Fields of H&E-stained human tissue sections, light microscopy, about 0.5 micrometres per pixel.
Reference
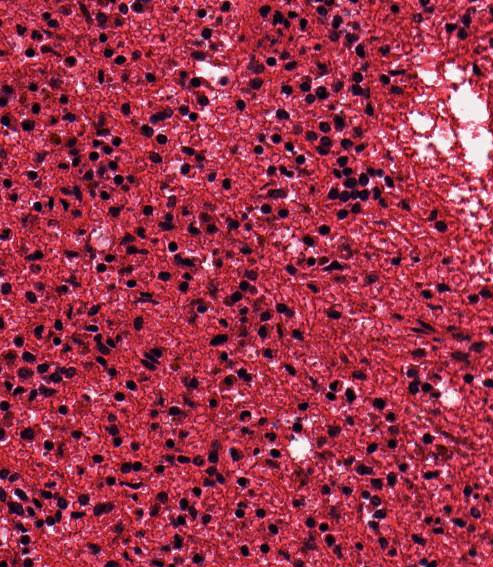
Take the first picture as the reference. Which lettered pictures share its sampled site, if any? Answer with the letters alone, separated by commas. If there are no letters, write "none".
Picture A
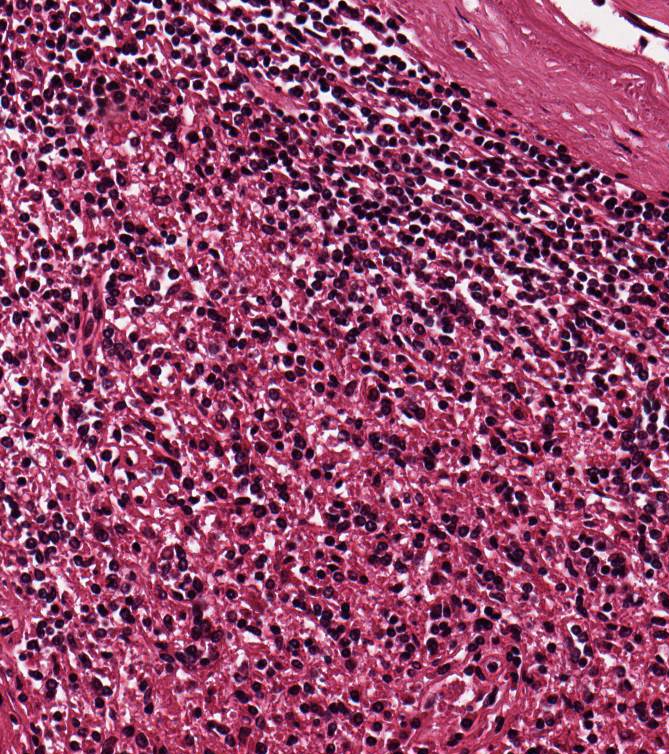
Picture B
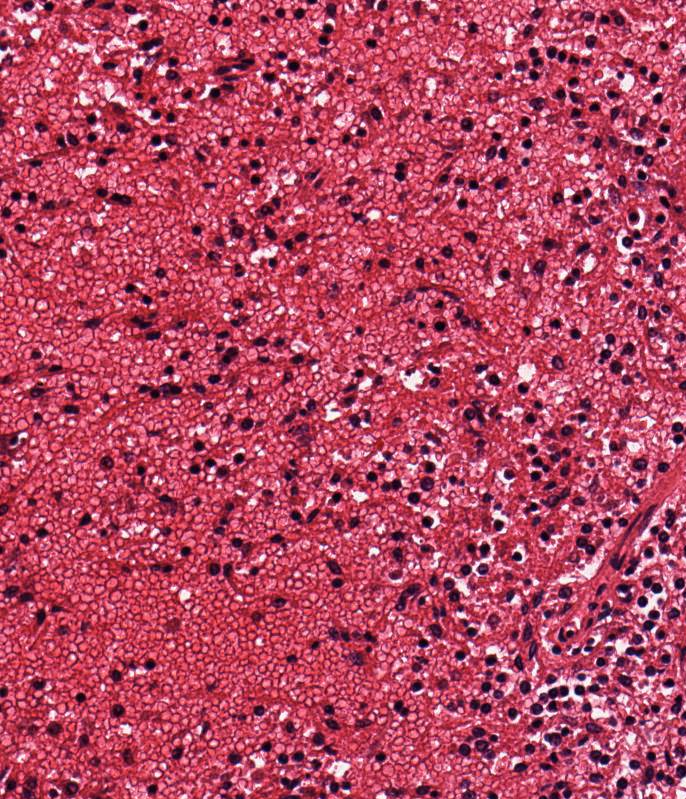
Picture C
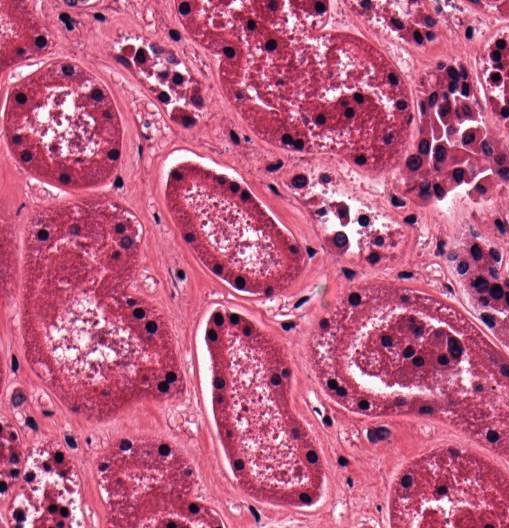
A, B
